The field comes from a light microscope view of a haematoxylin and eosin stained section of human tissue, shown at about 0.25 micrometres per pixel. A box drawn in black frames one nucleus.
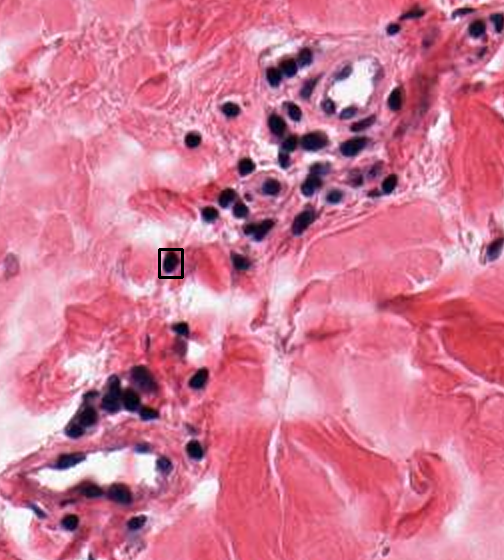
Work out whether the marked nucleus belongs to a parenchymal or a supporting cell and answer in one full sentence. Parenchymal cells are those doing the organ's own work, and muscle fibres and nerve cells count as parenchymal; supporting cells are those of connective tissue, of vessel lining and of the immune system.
The marked nucleus is found in a supporting cell.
